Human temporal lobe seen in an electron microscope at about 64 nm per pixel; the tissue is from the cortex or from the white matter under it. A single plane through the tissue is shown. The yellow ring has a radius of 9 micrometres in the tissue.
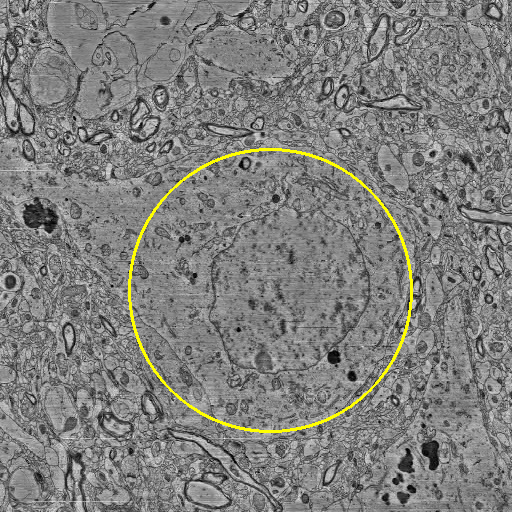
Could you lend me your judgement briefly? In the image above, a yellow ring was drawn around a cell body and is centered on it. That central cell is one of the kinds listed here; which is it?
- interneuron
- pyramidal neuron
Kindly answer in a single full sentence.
Going by the list, a pyramidal neuron is the kind at the ring's center in the picture.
